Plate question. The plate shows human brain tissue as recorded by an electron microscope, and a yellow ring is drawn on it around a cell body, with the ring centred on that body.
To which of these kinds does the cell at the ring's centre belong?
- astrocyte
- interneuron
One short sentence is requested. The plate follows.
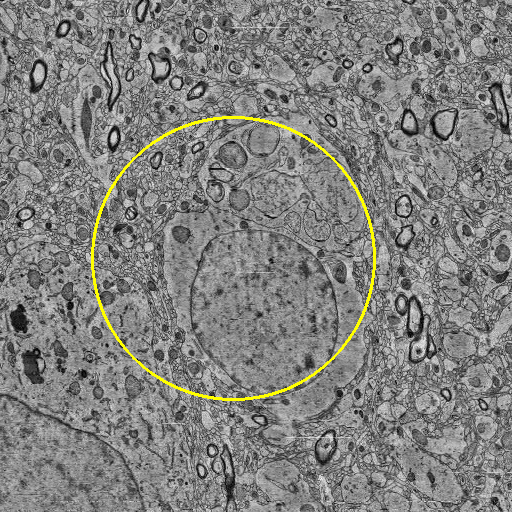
The cell at the ring's centre is an astrocyte.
